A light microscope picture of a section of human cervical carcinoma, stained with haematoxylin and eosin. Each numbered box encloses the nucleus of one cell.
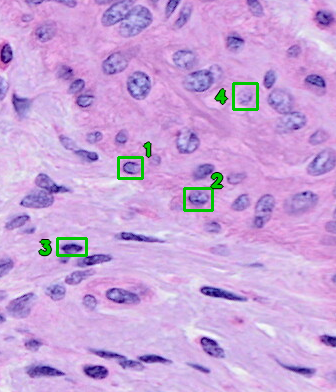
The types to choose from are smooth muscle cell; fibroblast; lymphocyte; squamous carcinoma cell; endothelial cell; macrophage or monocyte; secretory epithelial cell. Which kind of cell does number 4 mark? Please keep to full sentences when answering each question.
The marked cell bearing number 4 is a smooth muscle cell.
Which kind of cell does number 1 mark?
Belonging to a smooth muscle cell is the nucleus that carries the number 1.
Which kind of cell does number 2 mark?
The cell given label 2 is a smooth muscle cell.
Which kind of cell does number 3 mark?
The cell that bears the number 3 is a fibroblast.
